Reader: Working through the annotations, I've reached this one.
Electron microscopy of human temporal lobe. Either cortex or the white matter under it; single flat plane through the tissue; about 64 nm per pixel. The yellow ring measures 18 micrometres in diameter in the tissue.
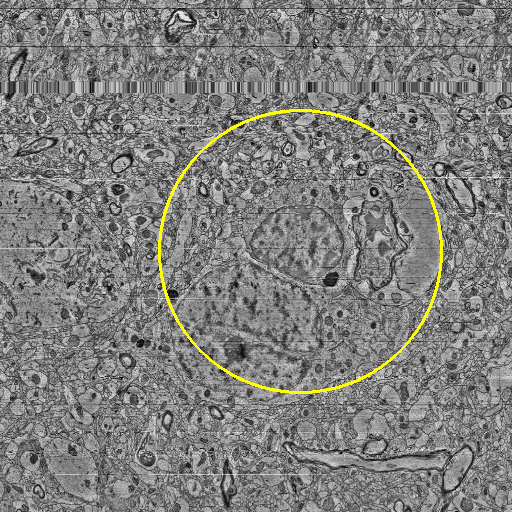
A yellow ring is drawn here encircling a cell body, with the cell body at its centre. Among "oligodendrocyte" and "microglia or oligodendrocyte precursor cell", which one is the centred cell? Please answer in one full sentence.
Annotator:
The cell body at the centre of the yellow ring in this image belongs to an oligodendrocyte.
